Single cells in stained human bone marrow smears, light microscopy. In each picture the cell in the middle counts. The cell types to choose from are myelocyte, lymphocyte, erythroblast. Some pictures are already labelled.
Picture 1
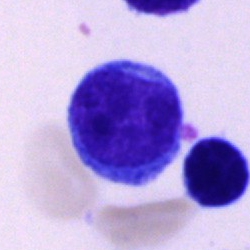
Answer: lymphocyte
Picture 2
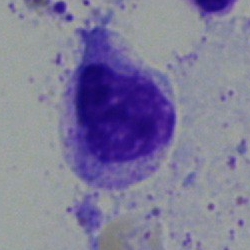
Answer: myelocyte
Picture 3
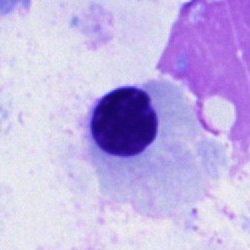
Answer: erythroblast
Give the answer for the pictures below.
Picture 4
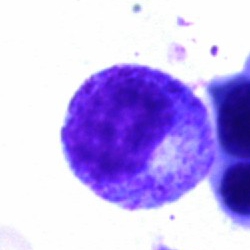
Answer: myelocyte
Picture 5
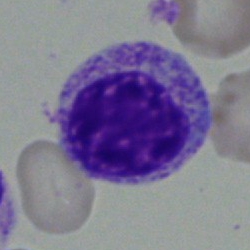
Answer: myelocyte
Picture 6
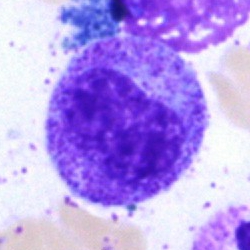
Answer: myelocyte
